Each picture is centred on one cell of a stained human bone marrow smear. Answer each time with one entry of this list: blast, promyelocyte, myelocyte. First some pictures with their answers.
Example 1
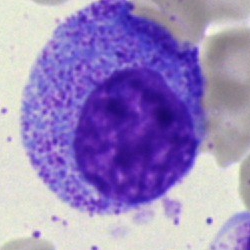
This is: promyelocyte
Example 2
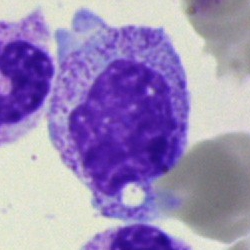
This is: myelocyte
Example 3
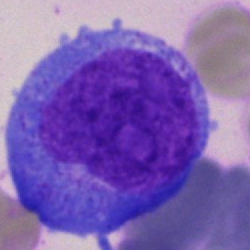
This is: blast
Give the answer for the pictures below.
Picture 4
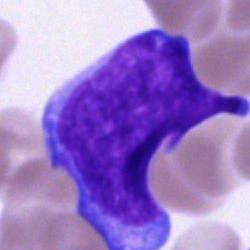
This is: blast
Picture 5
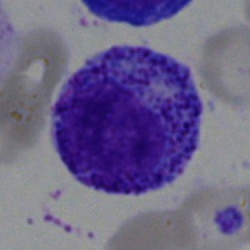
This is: promyelocyte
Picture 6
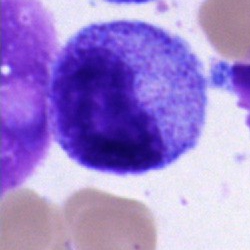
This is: promyelocyte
